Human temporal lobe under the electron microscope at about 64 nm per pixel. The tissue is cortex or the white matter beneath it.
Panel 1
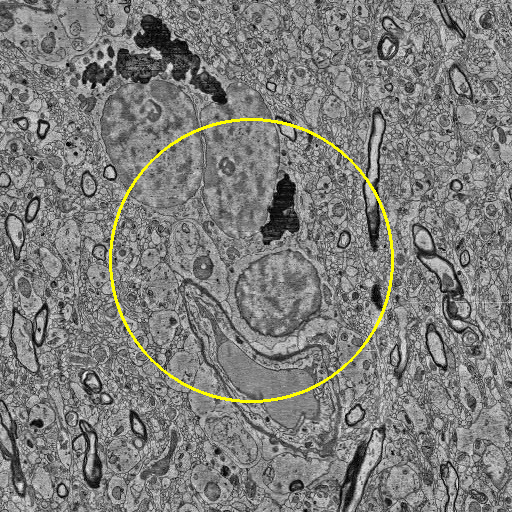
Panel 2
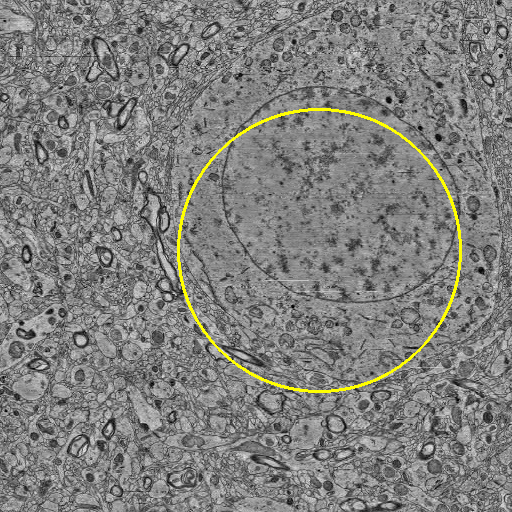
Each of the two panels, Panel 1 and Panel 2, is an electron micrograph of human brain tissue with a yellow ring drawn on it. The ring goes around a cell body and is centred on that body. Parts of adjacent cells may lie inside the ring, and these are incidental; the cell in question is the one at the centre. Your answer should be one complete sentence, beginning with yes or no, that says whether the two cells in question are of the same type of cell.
No, the two cells are of two types.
